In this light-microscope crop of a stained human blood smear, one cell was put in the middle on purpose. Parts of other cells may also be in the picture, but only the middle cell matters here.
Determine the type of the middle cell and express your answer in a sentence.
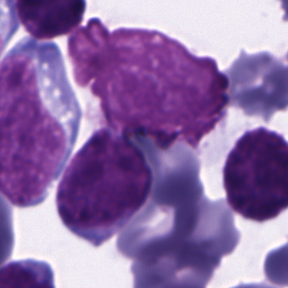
Classified as a blast is the cell in the middle of this crop.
